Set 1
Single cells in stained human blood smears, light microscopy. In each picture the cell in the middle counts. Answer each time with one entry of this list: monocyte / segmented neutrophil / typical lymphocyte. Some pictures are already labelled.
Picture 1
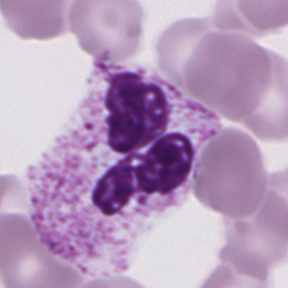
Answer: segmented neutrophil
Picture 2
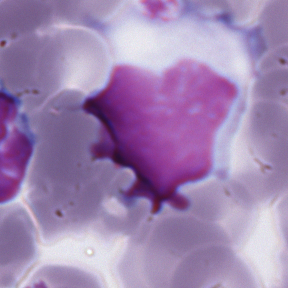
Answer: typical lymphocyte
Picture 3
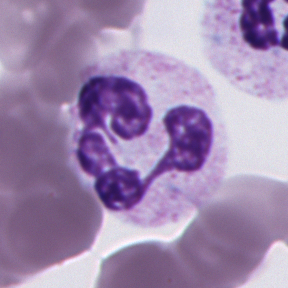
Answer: segmented neutrophil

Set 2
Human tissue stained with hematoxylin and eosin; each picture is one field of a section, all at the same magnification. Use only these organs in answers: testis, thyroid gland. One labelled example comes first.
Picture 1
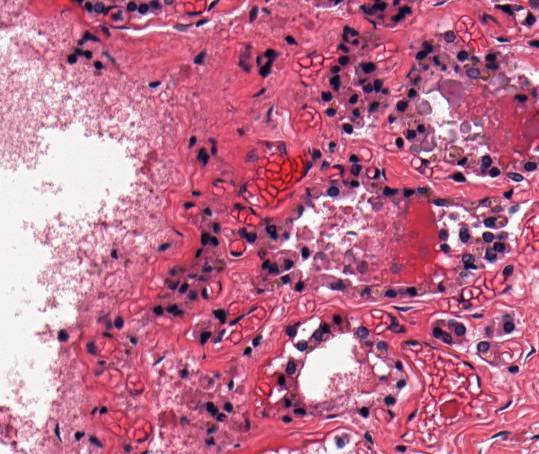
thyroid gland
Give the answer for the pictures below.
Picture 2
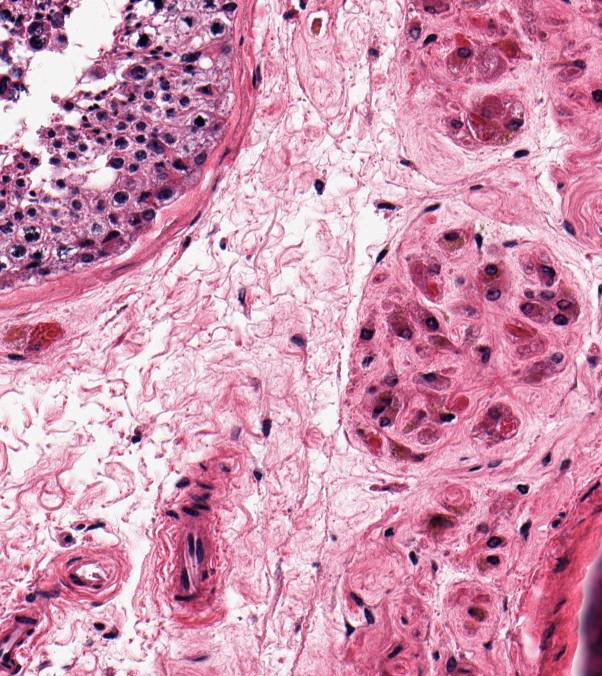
testis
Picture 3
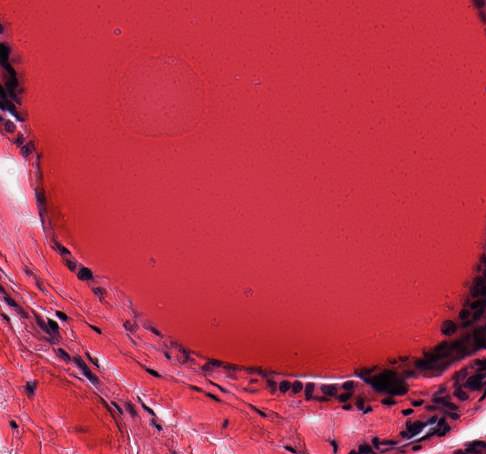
thyroid gland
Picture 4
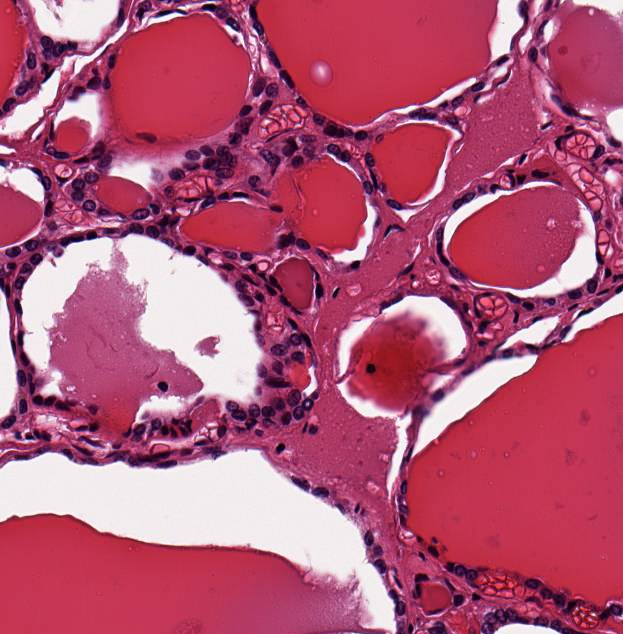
thyroid gland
